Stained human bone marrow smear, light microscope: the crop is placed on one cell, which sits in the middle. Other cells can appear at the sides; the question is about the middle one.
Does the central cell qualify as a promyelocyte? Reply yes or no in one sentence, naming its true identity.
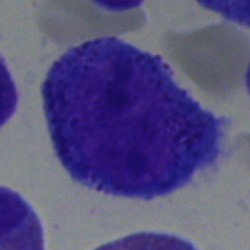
Yes, the cell found at the centre of the crop is a promyelocyte.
